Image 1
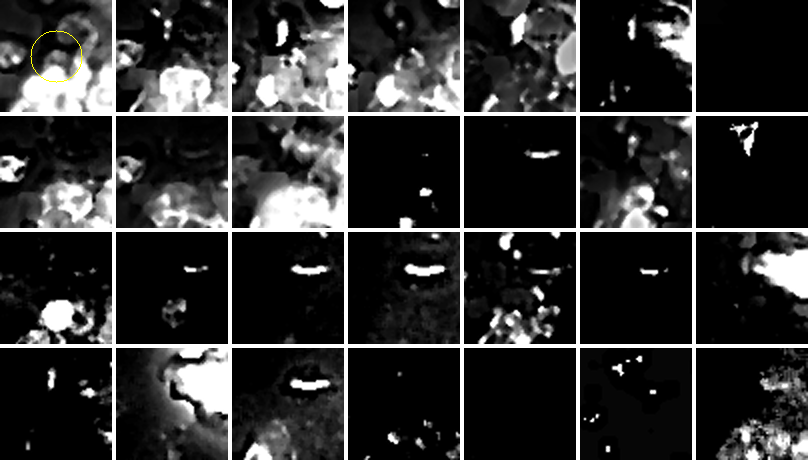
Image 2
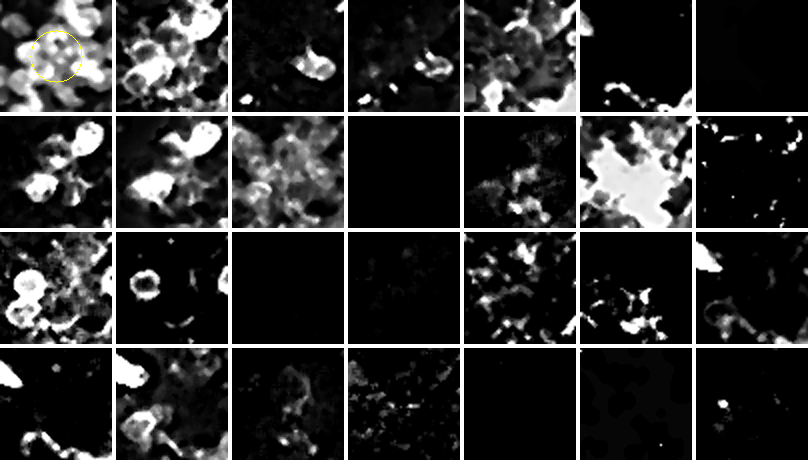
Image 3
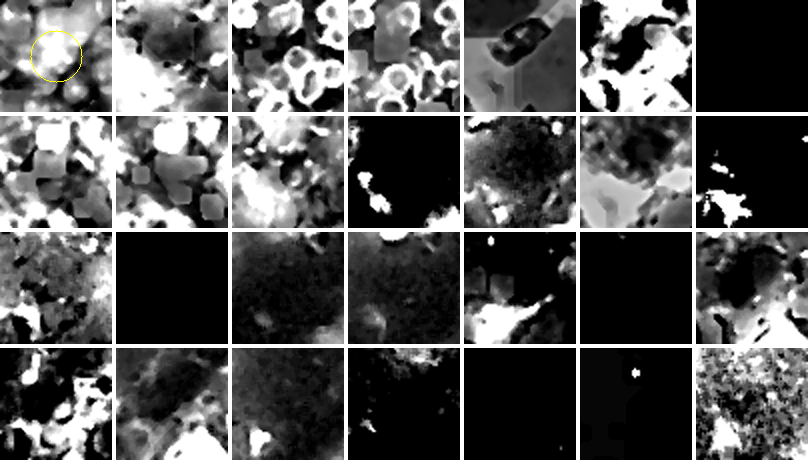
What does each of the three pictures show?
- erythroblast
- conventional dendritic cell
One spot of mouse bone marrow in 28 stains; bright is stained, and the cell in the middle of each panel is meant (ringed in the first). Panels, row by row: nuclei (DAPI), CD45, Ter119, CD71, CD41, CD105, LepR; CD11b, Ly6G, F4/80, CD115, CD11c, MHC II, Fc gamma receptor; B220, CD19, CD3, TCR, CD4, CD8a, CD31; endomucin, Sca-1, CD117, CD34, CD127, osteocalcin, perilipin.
1: erythroblast
2: conventional dendritic cell
3: erythroblast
